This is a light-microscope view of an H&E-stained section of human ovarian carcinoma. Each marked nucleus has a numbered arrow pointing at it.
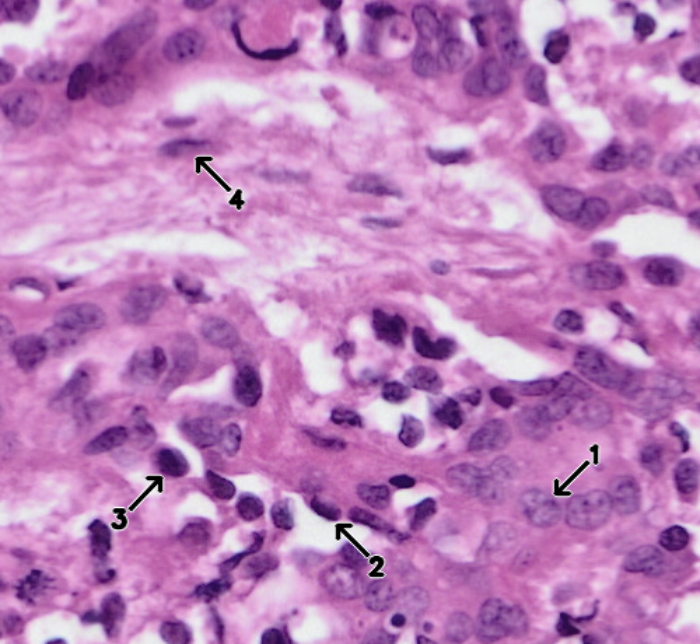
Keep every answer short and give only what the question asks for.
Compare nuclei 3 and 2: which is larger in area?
3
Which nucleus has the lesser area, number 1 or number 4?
4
